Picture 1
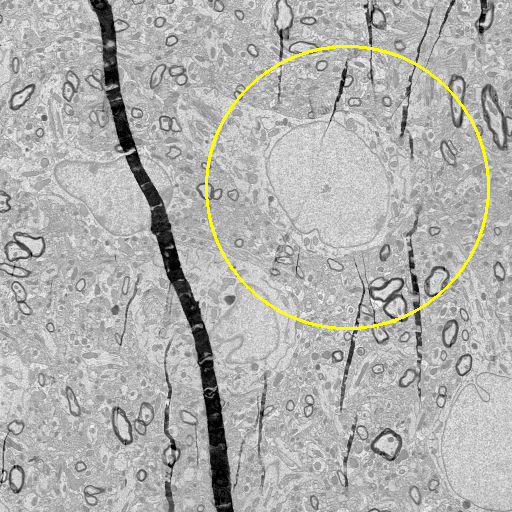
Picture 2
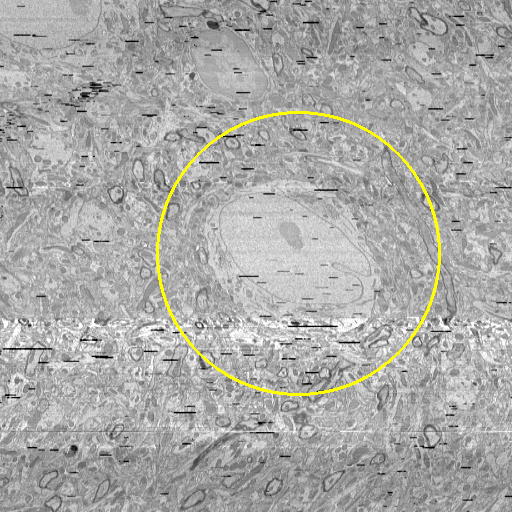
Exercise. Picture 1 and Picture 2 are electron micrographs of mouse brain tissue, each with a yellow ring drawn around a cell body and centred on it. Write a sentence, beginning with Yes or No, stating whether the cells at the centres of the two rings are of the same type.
No, the cells at the centres of the rings are of two types.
